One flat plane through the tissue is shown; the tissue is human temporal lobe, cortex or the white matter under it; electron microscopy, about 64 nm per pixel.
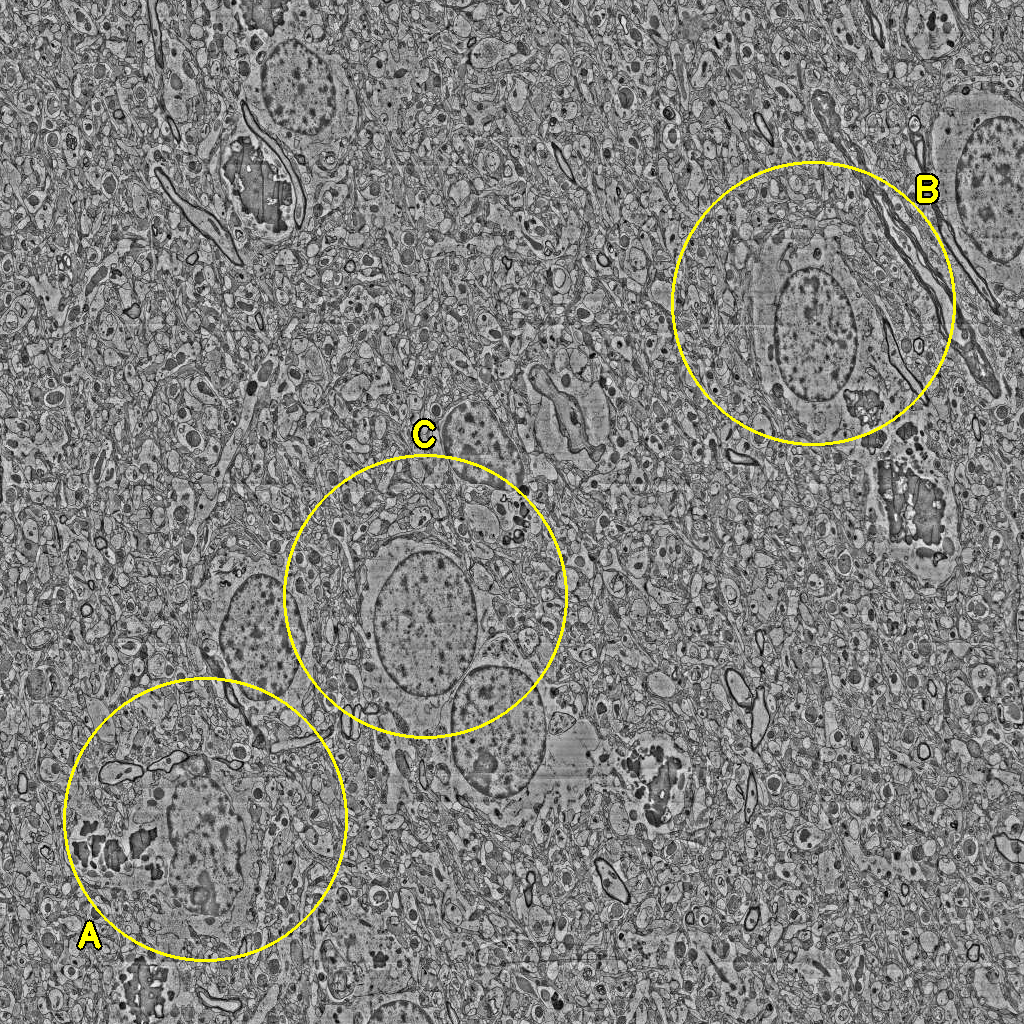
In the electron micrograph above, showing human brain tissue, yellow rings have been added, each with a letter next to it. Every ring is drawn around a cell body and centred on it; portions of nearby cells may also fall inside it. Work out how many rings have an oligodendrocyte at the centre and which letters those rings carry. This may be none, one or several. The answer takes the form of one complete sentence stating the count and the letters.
The count is zero, given that no ring here is centred on an oligodendrocyte.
